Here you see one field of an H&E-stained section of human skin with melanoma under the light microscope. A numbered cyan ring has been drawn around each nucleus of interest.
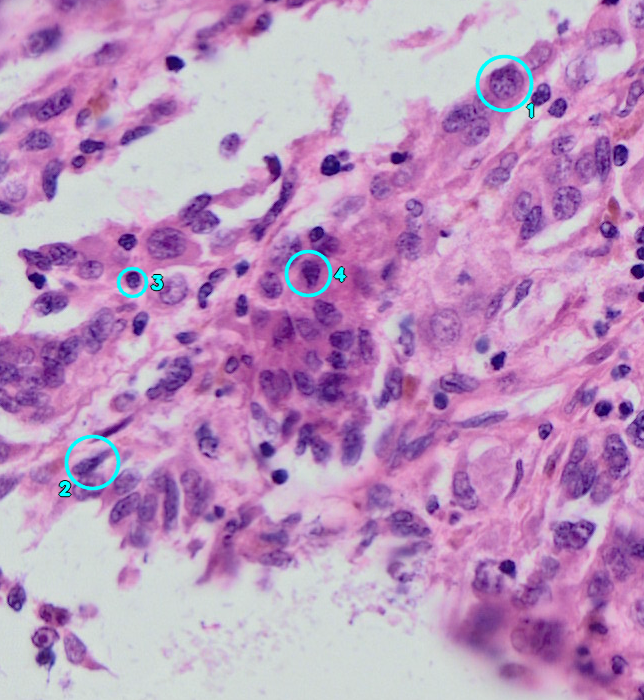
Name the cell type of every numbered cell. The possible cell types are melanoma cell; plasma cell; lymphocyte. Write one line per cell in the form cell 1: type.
cell 1: melanoma cell
cell 2: melanoma cell
cell 3: lymphocyte
cell 4: melanoma cell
